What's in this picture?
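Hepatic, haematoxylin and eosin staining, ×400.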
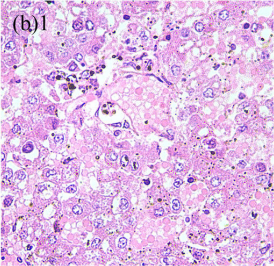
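Liver cells are seen as large polygonal cells packed together, many with a round central nucleus and a visible nucleolus. Yellow-brown pigment granules and darker brown clumps are scattered between and within the cells. Some cells have lost their nuclei or show small dark shrunken nuclei, and the orderly cords are disrupted.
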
